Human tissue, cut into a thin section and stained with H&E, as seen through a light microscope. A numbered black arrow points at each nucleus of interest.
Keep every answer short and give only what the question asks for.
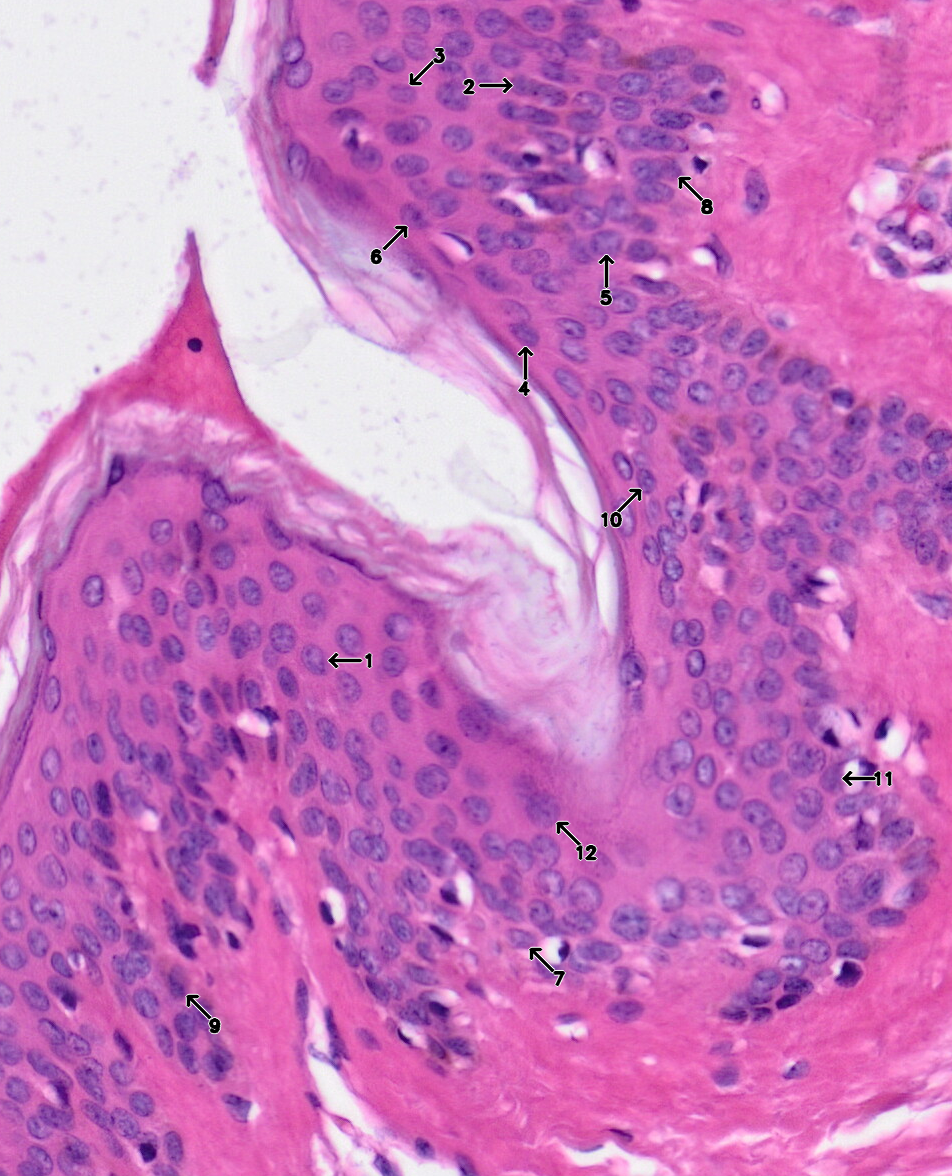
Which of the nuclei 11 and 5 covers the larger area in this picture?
5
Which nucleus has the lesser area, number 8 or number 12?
8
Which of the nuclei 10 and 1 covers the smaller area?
10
